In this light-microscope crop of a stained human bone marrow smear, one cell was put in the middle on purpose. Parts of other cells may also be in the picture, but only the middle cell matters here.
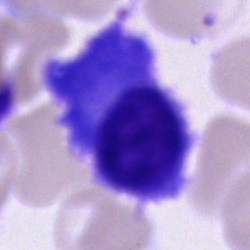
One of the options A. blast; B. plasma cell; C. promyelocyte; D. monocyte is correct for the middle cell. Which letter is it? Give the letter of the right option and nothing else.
B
